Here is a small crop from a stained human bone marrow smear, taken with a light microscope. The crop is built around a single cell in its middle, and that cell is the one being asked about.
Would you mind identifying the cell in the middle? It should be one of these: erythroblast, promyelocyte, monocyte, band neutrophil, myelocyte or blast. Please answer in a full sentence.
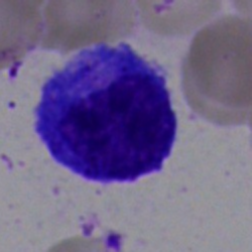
The cell in the middle of the field of view is a promyelocyte.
